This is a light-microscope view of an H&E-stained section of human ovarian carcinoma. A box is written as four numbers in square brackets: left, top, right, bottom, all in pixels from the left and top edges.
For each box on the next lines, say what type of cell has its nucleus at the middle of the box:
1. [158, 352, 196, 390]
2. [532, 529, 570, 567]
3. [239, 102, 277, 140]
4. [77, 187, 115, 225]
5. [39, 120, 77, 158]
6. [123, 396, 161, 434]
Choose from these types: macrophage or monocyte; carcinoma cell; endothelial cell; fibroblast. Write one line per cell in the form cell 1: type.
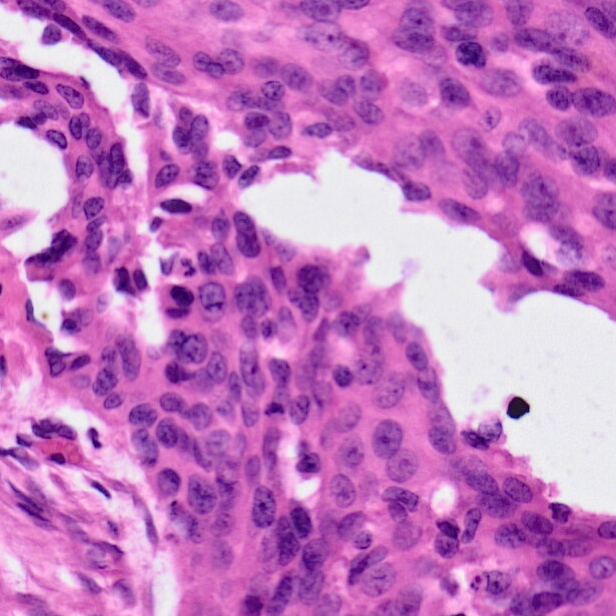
cell 1: carcinoma cell
cell 2: carcinoma cell
cell 3: carcinoma cell
cell 4: macrophage or monocyte
cell 5: macrophage or monocyte
cell 6: carcinoma cell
